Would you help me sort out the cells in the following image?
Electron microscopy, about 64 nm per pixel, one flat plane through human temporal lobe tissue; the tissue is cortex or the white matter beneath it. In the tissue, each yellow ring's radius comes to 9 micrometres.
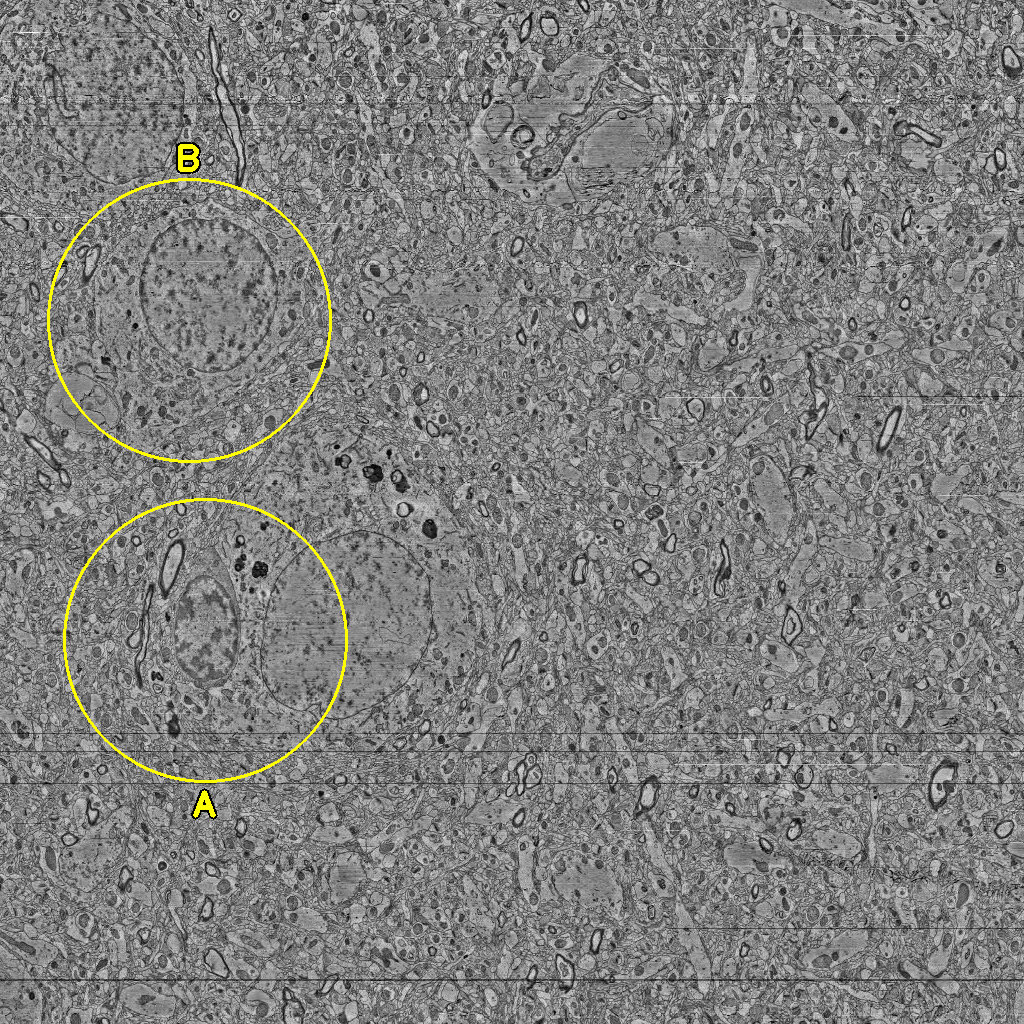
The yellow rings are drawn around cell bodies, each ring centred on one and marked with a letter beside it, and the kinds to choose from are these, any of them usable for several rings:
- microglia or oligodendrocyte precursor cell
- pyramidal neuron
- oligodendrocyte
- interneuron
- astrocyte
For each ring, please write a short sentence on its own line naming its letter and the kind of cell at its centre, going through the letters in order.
Ring A is centred on the cell body of an oligodendrocyte.
Ring B is centred on the cell body of an interneuron.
